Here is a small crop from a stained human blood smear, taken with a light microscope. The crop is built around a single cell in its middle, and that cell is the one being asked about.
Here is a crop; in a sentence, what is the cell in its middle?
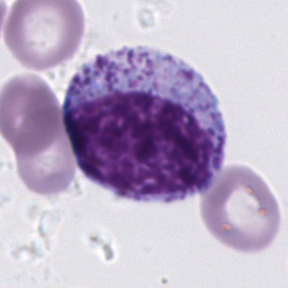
The central cell in this smear crop is a myelocyte.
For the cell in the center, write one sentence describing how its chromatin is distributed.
The chromatin in this nucleus is coarsely clumped.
